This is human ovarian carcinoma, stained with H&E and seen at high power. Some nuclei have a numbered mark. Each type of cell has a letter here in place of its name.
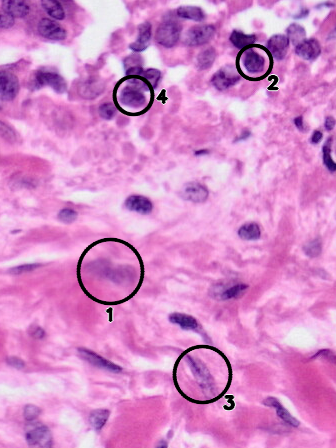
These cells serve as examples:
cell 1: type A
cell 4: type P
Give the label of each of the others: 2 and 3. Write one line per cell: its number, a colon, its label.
2: type P
3: type A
